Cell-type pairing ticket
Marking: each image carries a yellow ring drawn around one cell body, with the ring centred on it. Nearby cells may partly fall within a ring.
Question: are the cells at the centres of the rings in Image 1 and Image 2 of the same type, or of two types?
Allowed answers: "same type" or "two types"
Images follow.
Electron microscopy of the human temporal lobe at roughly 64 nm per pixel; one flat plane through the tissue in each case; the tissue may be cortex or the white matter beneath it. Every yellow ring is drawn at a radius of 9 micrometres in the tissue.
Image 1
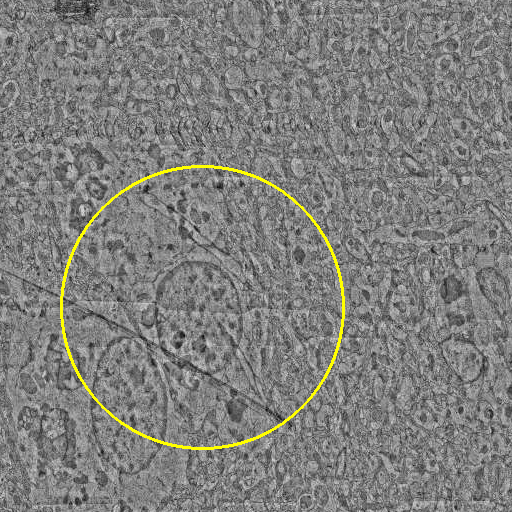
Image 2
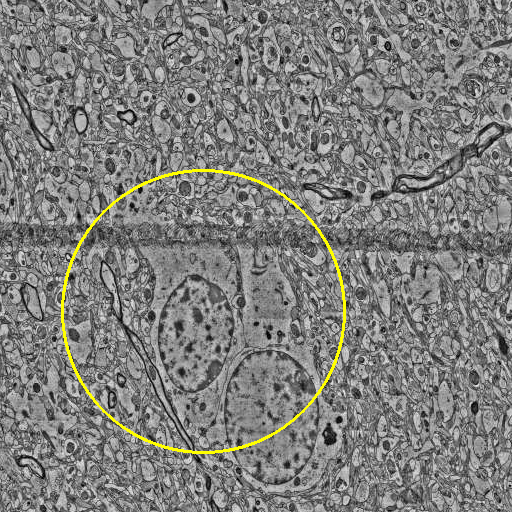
same type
